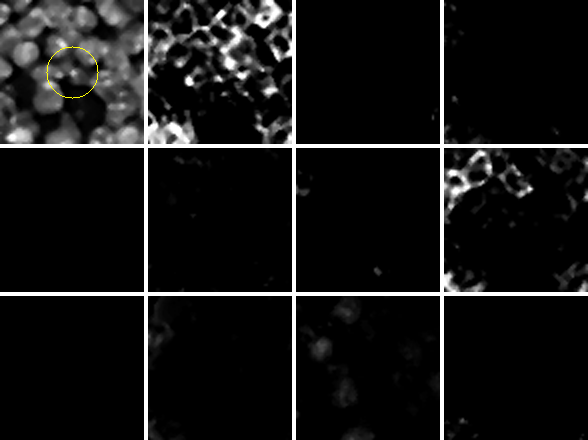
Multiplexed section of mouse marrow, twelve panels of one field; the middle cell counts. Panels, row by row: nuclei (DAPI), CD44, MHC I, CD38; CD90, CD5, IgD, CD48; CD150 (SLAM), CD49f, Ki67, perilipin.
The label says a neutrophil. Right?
Right.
